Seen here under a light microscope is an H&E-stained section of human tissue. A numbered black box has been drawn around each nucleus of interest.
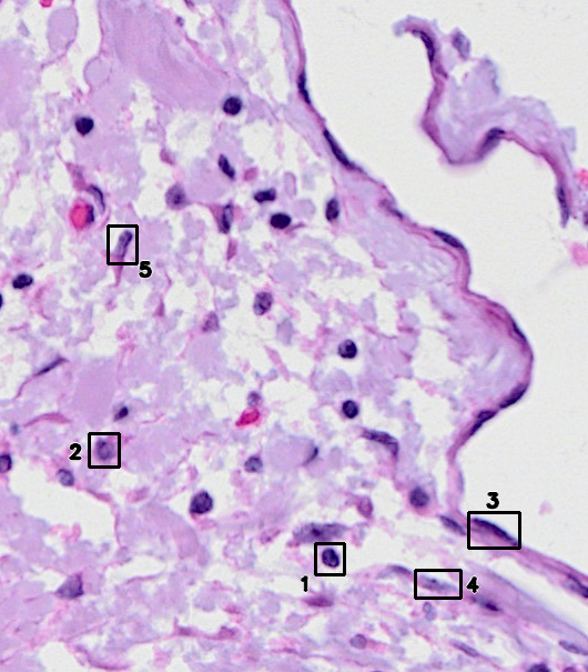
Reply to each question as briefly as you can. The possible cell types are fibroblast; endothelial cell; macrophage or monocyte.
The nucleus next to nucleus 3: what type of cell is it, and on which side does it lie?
a fibroblast; to the left of nucleus 3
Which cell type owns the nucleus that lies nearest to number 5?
endothelial cell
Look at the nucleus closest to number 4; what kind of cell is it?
macrophage or monocyte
